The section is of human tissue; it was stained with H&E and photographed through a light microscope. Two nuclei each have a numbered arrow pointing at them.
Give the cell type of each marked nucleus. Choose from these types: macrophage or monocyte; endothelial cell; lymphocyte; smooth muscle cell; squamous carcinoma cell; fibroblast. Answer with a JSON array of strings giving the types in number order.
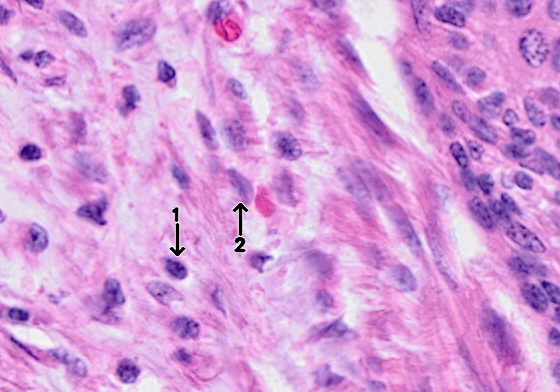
["lymphocyte", "endothelial cell"]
